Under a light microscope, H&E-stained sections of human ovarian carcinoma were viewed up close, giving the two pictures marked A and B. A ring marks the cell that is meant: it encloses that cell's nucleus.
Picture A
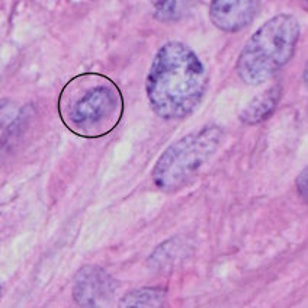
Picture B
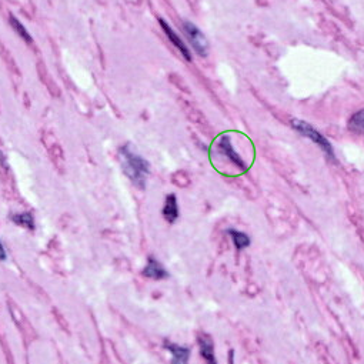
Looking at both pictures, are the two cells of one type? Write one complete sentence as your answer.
Yes, the two pictures both show fibroblasts.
